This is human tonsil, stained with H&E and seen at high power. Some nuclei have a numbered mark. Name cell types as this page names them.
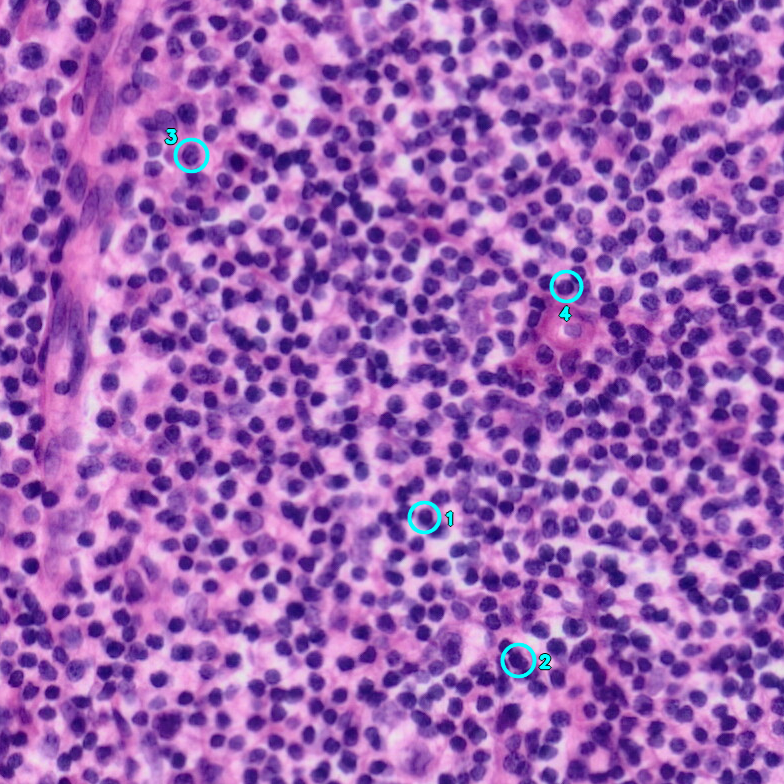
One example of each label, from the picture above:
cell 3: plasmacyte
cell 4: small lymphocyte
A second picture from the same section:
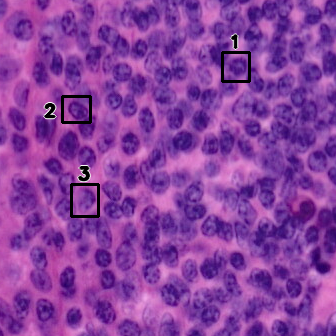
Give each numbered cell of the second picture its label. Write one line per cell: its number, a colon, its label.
1: small lymphocyte
2: plasmacyte
3: plasmacyte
